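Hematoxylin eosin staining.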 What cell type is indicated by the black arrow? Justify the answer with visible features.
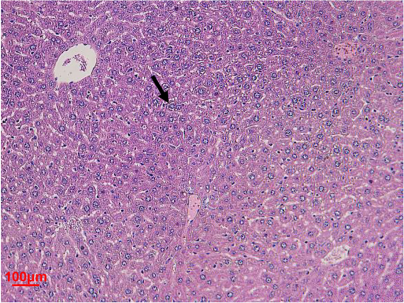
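The arrow points into sheets of polygonal cells with pink cytoplasm. Each cell has a round, centrally placed purple nucleus. The cells line up in cords separated by narrow clear spaces. The answer: hepatic cells.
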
